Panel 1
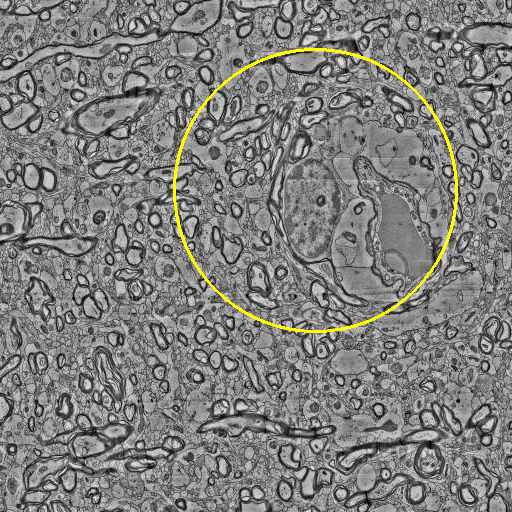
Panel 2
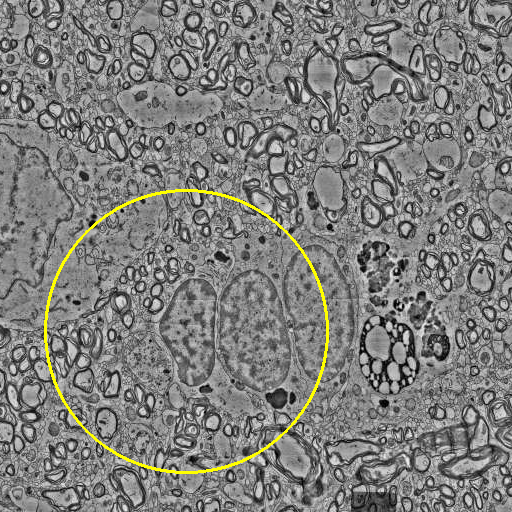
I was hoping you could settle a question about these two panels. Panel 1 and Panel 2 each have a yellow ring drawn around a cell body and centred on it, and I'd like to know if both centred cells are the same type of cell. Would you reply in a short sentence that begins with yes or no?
No, they are two types of cell.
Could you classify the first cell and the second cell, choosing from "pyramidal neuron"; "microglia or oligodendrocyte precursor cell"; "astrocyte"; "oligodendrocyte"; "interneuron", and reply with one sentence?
The second cell is a microglial cell or oligodendrocyte precursor cell, while the first is an oligodendrocyte.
